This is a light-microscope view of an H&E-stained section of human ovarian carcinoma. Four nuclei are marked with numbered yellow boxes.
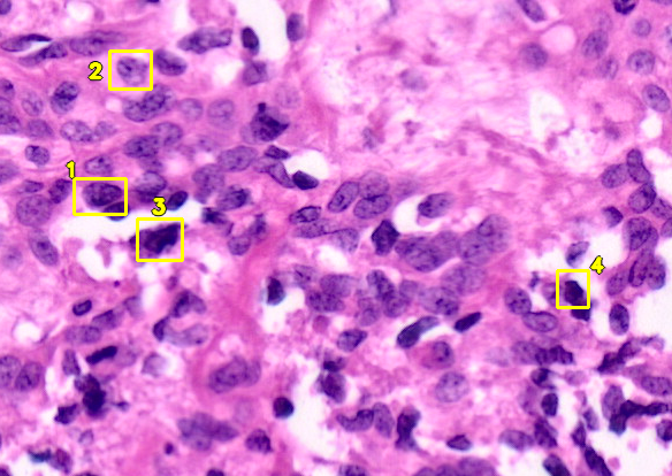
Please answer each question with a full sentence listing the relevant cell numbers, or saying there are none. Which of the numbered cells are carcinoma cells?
The cells with the numbers 1, 3 and 4 are carcinoma cells.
